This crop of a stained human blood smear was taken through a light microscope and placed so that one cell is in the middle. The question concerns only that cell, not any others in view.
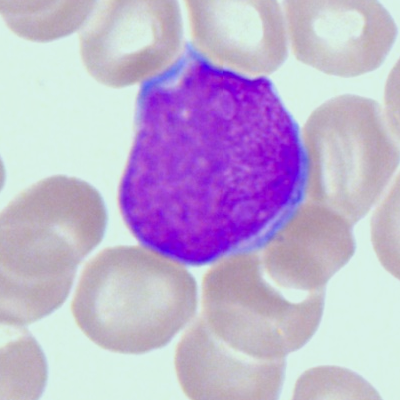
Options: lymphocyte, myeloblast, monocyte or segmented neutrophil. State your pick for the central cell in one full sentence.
This crop has a myeloblast at its centre.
